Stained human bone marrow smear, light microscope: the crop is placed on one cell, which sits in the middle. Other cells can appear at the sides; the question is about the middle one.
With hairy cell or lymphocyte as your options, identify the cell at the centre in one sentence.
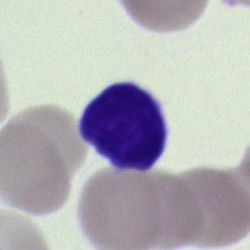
The target cell in the middle of the crop is a lymphocyte.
